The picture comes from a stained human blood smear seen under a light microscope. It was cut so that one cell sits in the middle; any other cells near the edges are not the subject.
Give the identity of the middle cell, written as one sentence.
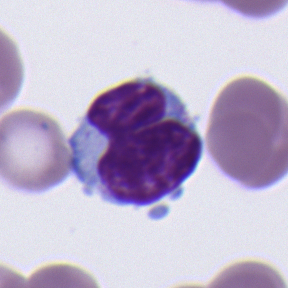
The middle position in this crop is taken by a monocyte.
